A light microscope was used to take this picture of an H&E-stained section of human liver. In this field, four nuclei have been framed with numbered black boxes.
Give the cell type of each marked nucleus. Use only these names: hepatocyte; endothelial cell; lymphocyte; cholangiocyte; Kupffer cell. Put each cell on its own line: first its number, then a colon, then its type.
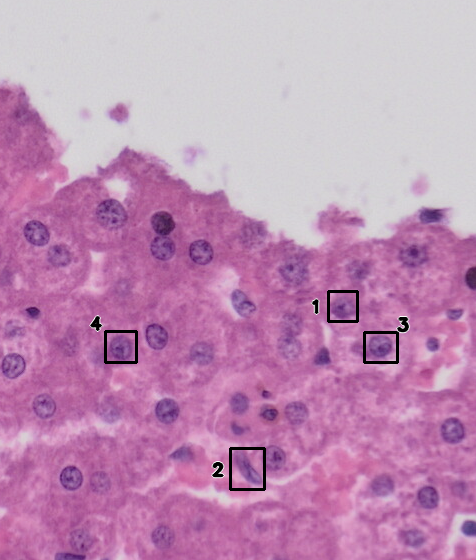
1: hepatocyte
2: Kupffer cell
3: hepatocyte
4: hepatocyte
